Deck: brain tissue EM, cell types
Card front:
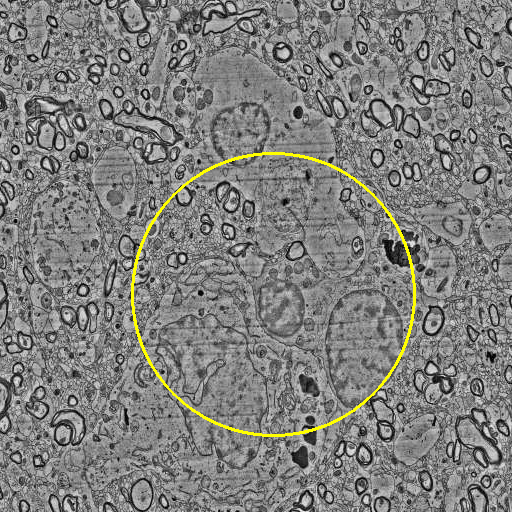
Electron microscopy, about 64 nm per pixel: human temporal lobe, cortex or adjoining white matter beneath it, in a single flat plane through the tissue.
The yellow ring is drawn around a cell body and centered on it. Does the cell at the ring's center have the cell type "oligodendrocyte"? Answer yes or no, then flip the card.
yes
